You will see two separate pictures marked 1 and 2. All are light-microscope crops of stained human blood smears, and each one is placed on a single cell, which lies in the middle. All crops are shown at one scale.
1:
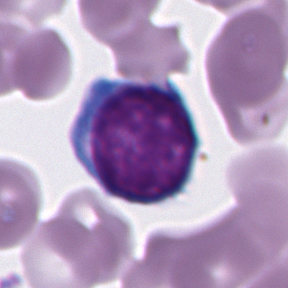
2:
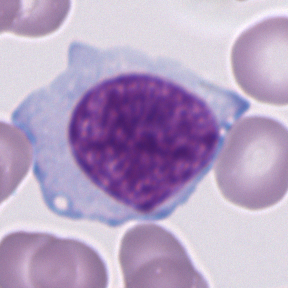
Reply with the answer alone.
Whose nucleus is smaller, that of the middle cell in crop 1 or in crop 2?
1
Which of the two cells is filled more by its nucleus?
1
